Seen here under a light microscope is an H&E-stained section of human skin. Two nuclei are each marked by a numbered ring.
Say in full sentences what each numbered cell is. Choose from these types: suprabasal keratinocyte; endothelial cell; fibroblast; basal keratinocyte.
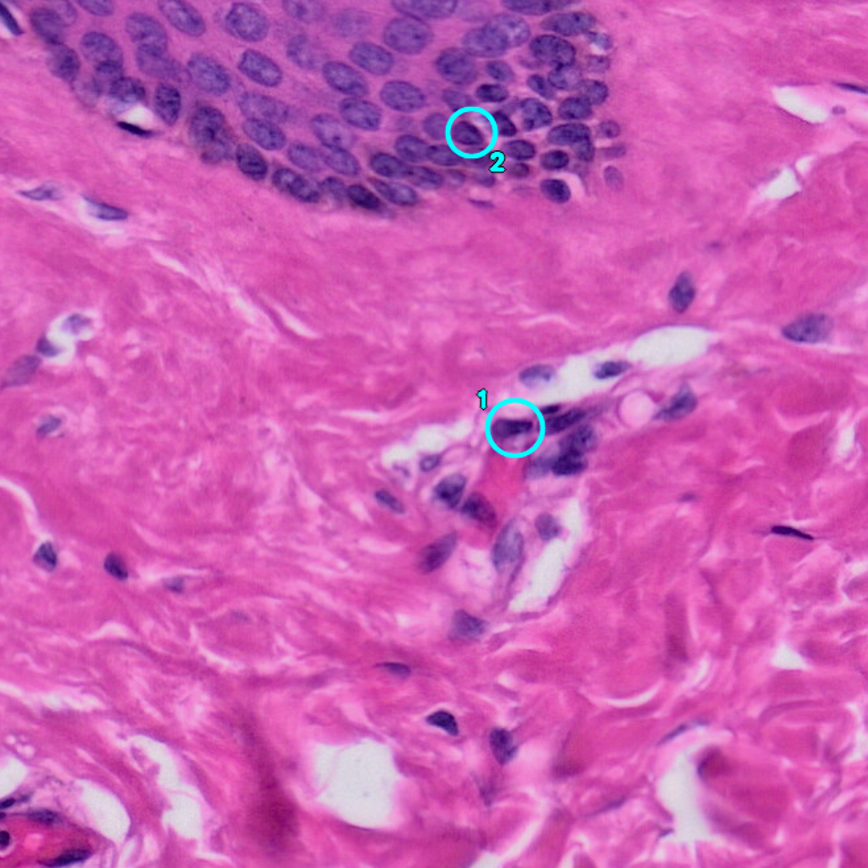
Cell 1 is an endothelial cell. Cell 2 is a basal keratinocyte.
